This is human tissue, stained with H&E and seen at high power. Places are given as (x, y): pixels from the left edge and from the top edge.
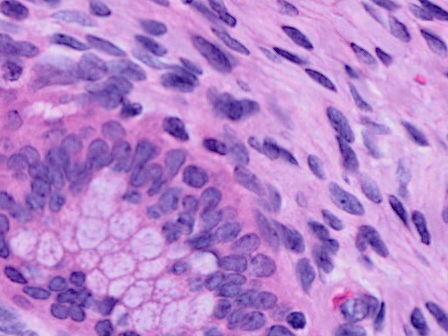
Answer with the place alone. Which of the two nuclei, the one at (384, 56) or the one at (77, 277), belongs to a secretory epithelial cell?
(77, 277)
